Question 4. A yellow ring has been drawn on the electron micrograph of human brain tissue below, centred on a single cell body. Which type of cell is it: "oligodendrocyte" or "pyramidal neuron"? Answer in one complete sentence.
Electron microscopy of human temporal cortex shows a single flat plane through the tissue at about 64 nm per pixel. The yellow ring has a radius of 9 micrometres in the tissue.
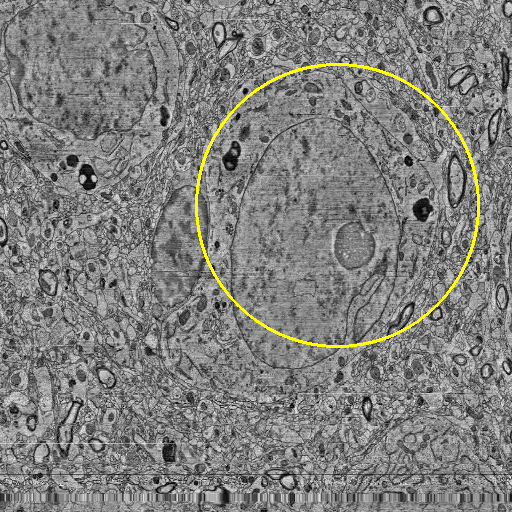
This cell body belongs to a pyramidal neuron.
